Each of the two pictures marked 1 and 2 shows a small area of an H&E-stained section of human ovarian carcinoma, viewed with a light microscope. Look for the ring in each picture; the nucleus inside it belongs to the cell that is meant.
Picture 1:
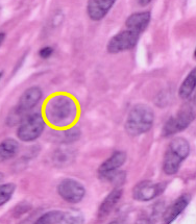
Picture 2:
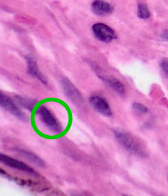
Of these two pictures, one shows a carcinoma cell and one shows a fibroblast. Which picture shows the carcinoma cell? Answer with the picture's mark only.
1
